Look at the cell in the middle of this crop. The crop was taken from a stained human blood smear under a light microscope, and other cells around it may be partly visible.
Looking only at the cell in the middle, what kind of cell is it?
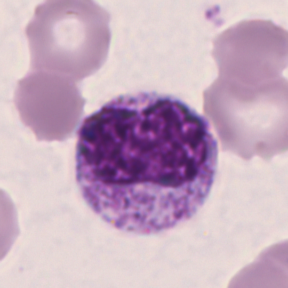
metamyelocyte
